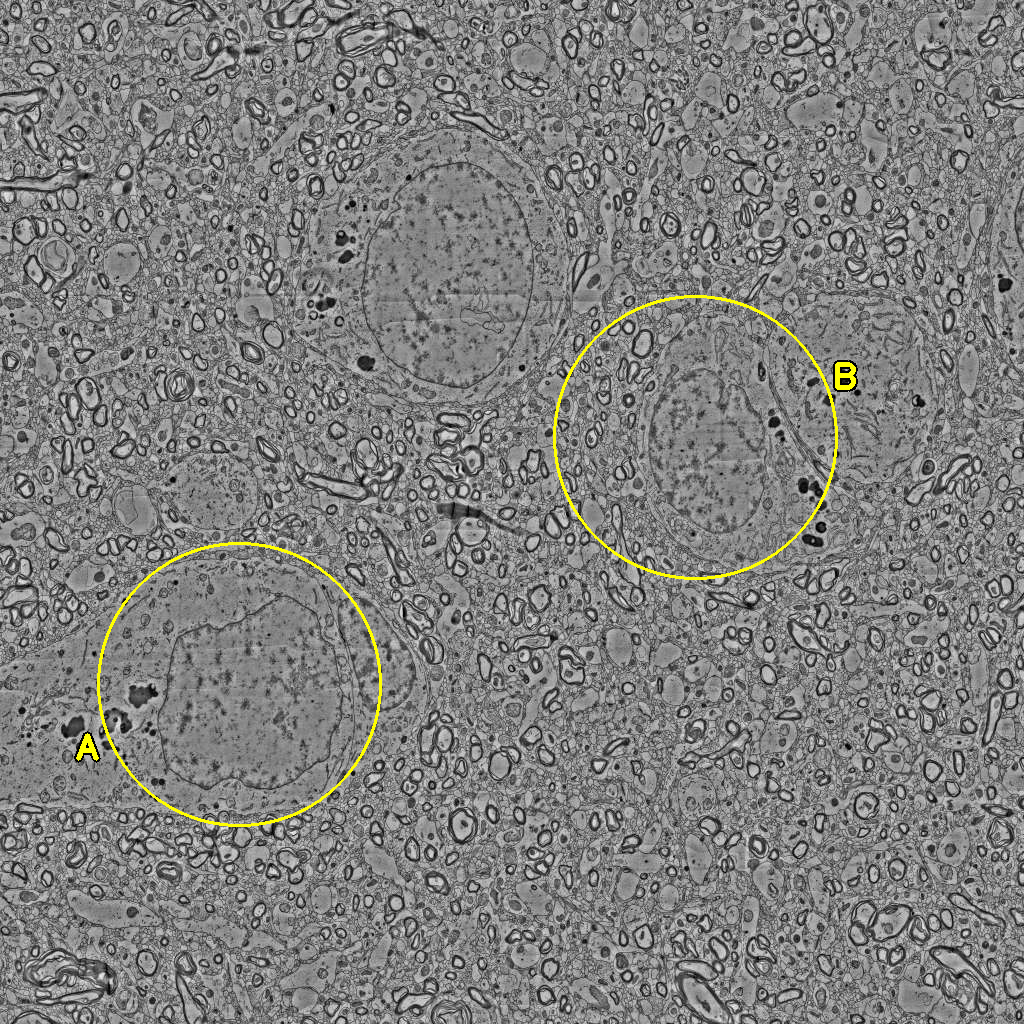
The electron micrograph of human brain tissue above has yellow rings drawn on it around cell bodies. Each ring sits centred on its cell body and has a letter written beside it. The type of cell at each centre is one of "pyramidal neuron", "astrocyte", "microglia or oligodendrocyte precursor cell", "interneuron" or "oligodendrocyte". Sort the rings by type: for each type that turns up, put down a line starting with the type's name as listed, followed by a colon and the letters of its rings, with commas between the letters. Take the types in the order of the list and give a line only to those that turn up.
pyramidal neuron: A
interneuron: B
